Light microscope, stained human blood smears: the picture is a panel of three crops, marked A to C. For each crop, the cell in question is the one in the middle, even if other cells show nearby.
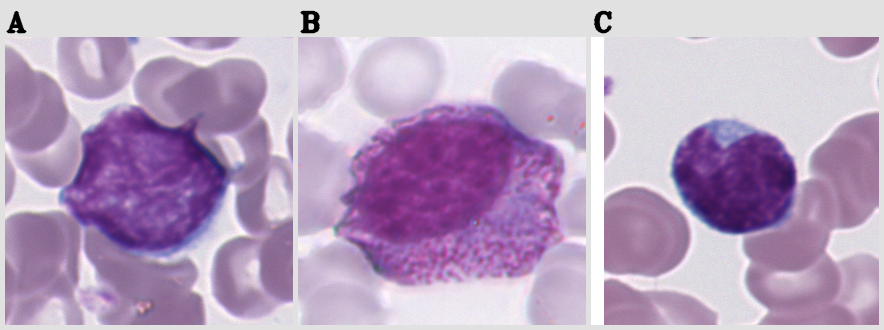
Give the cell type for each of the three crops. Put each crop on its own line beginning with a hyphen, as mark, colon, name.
- A: myeloblast
- B: promyelocyte
- C: typical lymphocyte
